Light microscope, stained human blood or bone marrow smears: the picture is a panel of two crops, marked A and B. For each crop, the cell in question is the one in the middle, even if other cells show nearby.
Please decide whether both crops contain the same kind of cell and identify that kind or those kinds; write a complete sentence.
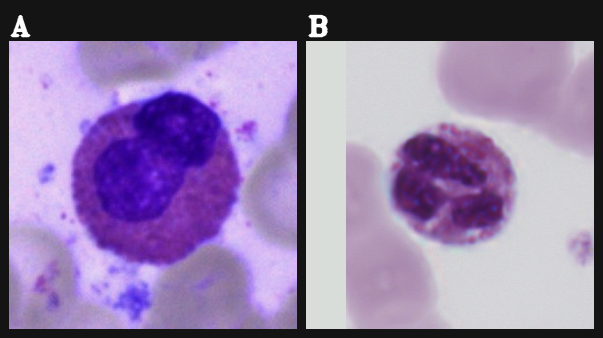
Yes, as shown in both crops, the central cells are eosinophils.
